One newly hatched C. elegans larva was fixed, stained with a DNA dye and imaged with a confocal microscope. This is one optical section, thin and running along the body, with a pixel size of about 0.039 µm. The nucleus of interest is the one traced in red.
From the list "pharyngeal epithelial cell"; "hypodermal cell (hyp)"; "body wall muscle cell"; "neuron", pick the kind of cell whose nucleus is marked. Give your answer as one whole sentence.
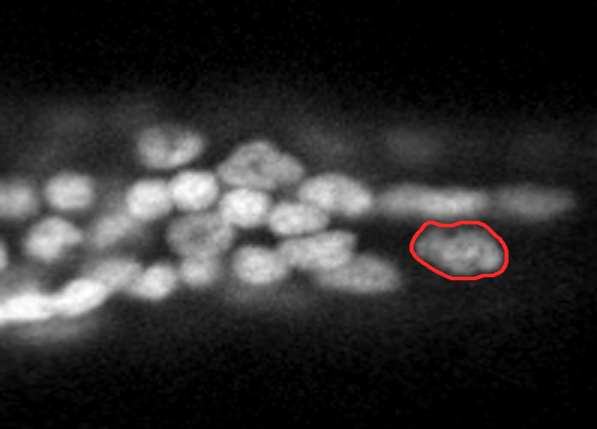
The marked nucleus is that of a hypodermal cell (hyp).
